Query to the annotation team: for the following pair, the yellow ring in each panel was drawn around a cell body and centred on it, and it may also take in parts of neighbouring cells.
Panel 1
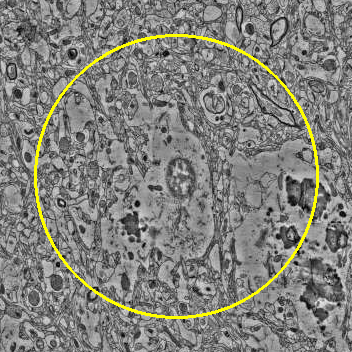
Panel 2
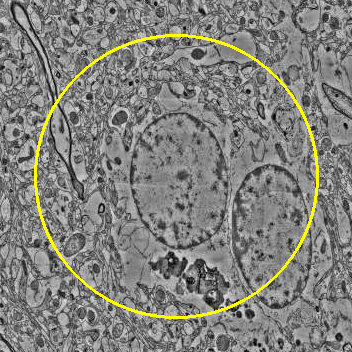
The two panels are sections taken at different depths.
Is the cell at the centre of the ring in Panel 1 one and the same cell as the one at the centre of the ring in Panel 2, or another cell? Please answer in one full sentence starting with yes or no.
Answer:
Yes, one cell accounts for both of the yellow rings.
